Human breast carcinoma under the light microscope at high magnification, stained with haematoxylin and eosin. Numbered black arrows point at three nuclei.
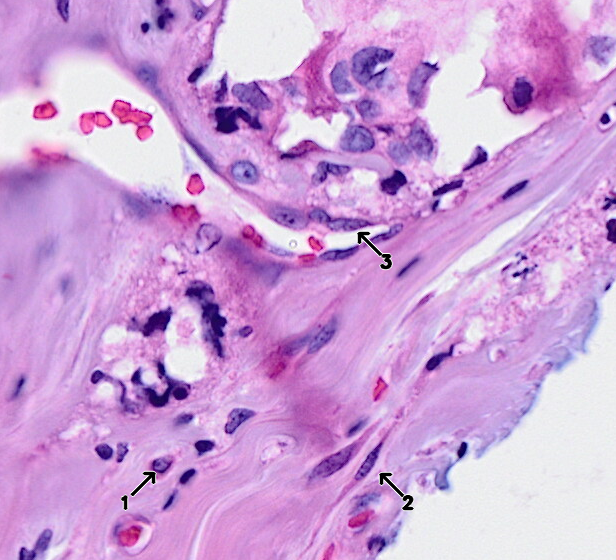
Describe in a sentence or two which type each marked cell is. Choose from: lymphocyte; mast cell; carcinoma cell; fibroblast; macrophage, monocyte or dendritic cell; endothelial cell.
Cell 1 is a mast cell. Cell 2 is a fibroblast. Cell 3 is an endothelial cell.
